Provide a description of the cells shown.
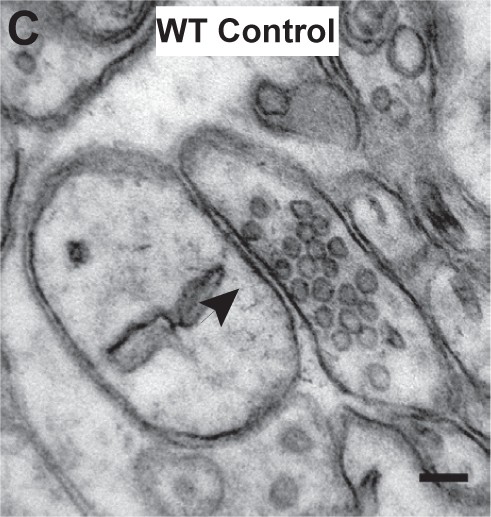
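This electron micrograph shows a synapse in which an elongated presynaptic terminal holding a cluster of small, round synaptic vesicles abuts a larger, paler postsynaptic profile. The contact between them has dense, thickened membranes, with vesicles gathered near it, and the whole is surrounded by other membrane-bound profiles of neuropil.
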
